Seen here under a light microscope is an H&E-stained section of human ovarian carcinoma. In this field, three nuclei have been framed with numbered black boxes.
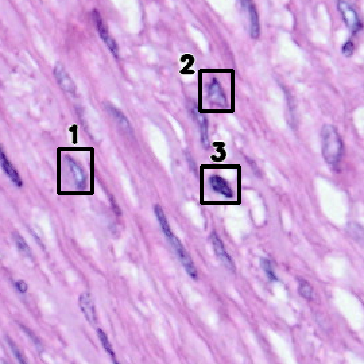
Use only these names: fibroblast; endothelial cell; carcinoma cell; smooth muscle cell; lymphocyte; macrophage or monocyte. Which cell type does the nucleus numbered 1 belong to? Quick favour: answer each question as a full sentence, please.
In the marked set, the cell given number 1 is a fibroblast.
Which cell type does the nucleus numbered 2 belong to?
The cell that is numbered 2 is a fibroblast.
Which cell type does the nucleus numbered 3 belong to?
The marked cell with the number 3 is recognised as a lymphocyte.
